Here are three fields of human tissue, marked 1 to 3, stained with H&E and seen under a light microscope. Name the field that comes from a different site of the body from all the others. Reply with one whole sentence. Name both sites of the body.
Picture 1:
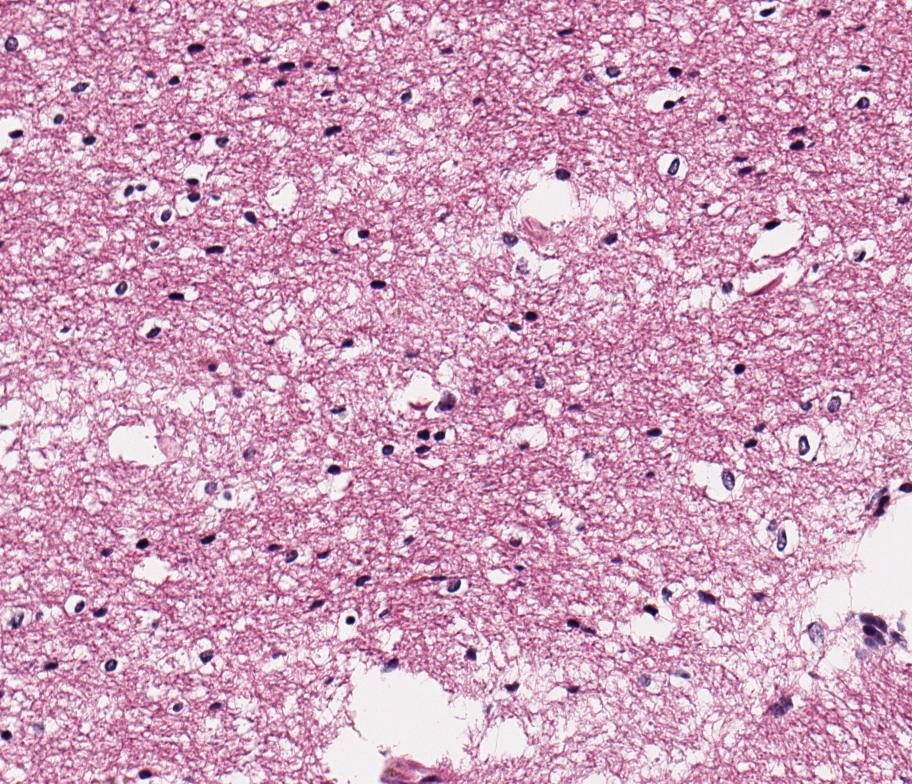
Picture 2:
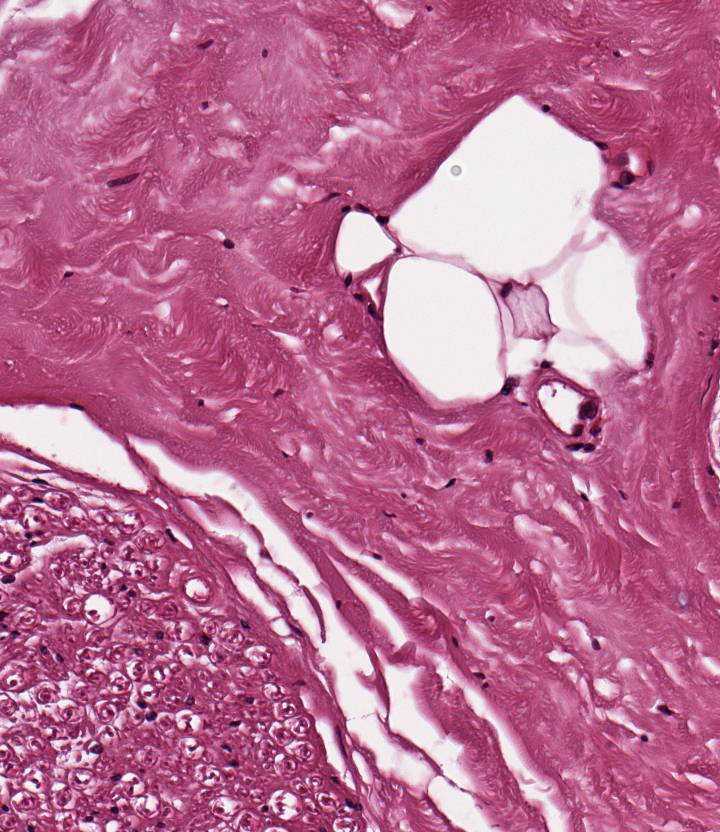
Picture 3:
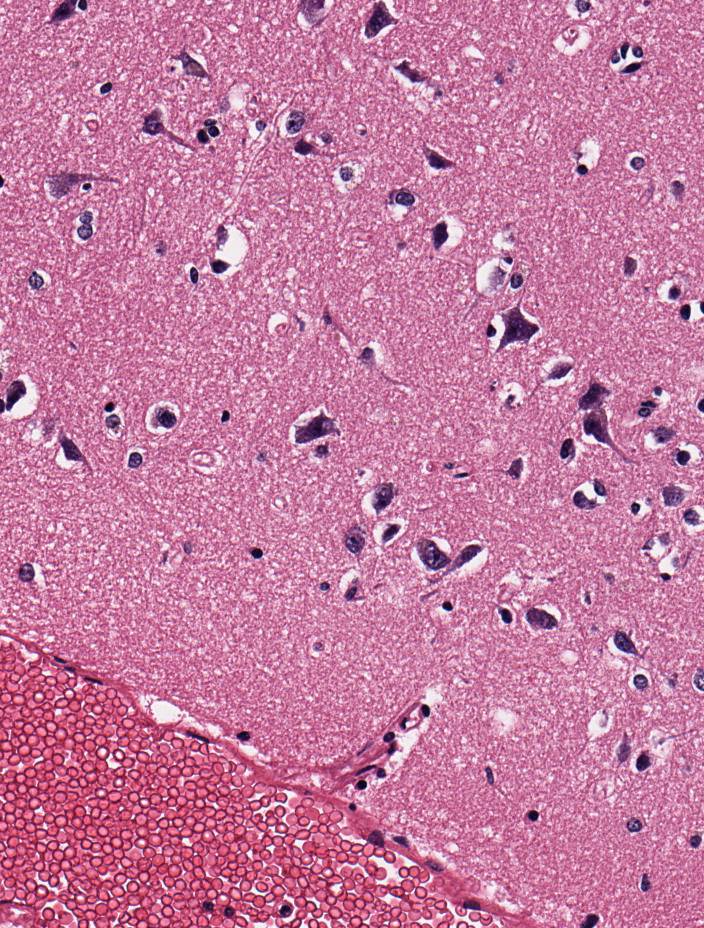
Unlike the rest, which come from the cerebral cortex, picture 2 comes from the tibial nerve.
